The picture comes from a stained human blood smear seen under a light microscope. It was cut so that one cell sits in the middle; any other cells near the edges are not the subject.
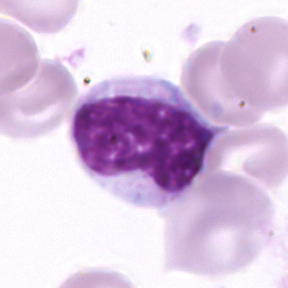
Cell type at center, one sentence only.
In the crop, the cell of interest at the centre is a metamyelocyte.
